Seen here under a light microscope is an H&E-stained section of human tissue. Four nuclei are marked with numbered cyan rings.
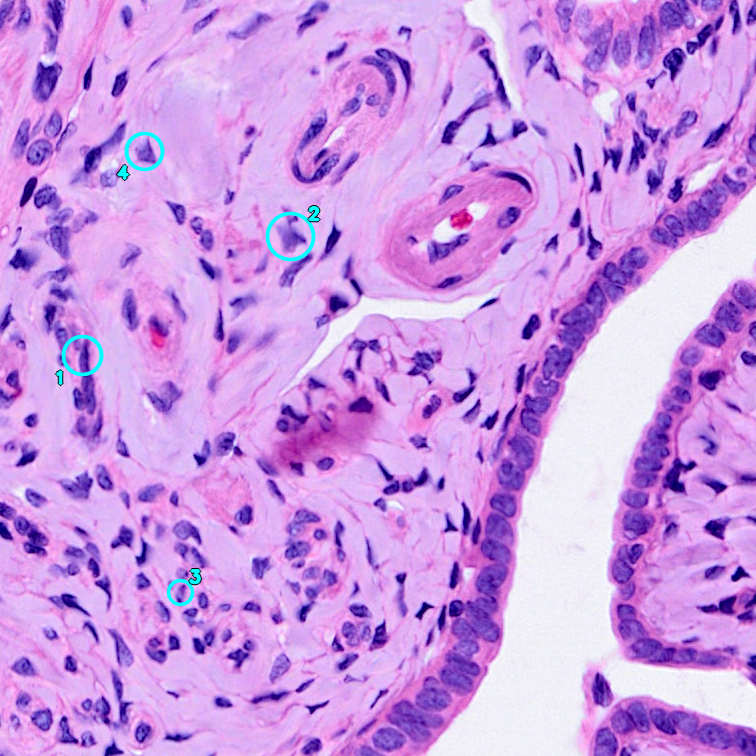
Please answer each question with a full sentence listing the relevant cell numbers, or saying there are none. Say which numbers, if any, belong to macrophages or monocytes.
No numbered cell in this section is one of the macrophages or monocytes.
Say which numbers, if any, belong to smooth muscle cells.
Only one marked cell, number 3, is a smooth muscle cell.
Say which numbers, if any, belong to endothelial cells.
Among the numbered cells, the one that is an endothelial cell is cell 1 alone.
